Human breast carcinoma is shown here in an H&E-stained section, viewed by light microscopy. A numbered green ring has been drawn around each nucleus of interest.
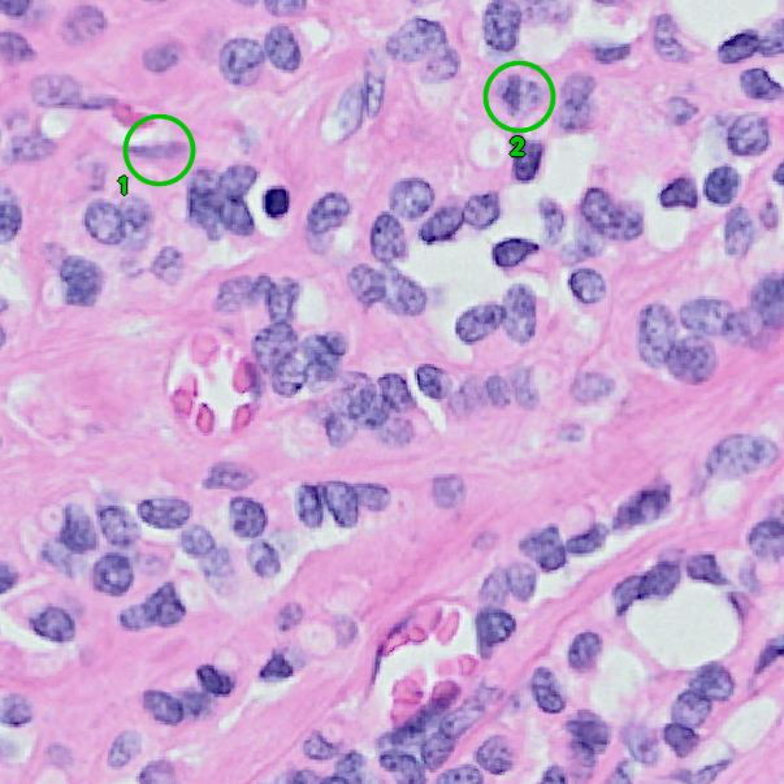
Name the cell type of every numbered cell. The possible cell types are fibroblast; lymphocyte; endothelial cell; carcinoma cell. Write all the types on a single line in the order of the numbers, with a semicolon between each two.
endothelial cell; carcinoma cell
